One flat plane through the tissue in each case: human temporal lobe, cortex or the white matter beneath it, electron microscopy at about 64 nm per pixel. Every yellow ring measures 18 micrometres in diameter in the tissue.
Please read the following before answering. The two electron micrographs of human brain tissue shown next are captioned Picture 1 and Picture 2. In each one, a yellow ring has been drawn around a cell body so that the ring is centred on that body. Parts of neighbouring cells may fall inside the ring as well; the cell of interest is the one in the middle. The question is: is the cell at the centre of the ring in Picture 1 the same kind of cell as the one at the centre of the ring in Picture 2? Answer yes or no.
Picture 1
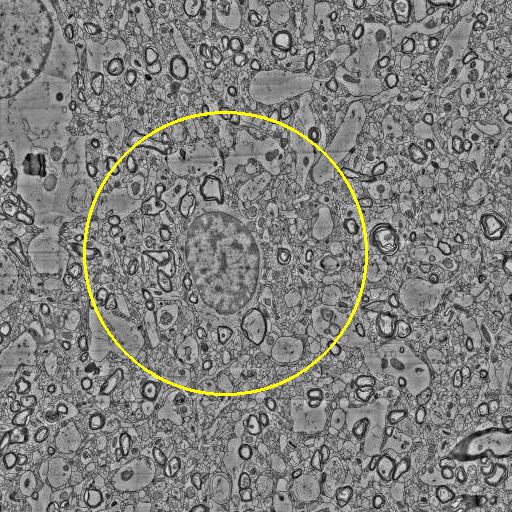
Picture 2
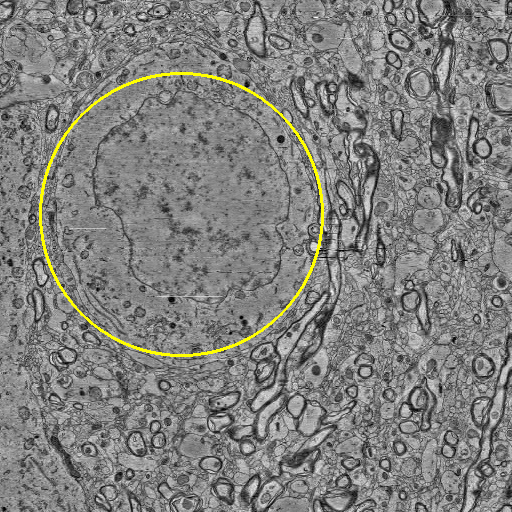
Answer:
no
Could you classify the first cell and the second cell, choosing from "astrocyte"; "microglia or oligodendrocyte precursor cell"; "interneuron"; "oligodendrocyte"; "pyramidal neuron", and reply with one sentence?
The second cell is a pyramidal neuron, while the first is an oligodendrocyte.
